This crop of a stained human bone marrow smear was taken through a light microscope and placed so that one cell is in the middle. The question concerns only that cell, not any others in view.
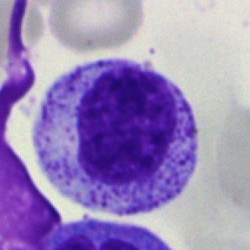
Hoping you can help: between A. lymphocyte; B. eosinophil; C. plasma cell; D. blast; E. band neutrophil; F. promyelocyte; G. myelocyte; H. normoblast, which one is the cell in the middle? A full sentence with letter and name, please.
The central cell, a myelocyte, is correctly identified by option G.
